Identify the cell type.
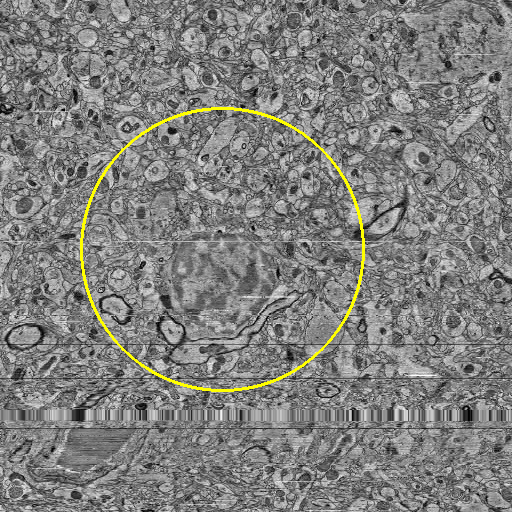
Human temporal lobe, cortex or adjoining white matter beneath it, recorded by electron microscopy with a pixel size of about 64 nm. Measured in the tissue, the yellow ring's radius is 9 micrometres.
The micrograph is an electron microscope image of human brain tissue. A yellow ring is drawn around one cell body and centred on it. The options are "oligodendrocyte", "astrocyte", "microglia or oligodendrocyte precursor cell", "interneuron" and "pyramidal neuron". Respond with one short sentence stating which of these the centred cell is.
The cell body in the ring belongs to an oligodendrocyte.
